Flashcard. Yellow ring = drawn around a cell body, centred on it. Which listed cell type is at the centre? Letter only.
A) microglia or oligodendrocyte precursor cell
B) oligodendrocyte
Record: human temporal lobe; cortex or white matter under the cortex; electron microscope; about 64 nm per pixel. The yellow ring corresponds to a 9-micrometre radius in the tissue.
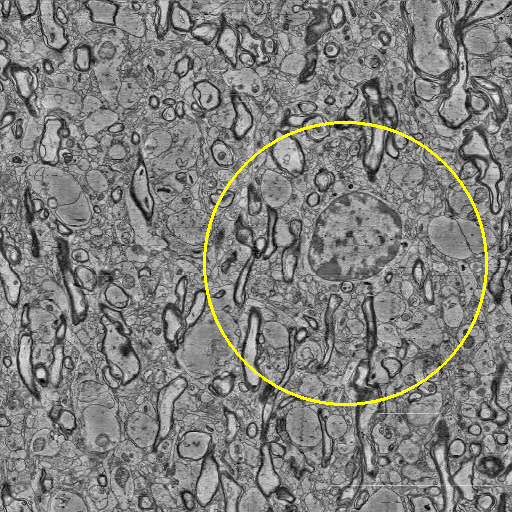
A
